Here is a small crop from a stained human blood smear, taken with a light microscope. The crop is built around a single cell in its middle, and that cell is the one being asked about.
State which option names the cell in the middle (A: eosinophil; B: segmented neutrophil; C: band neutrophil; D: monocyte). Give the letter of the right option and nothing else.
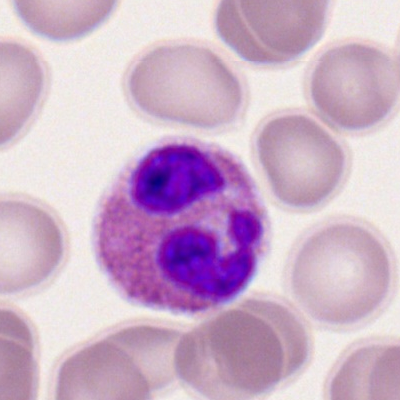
A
